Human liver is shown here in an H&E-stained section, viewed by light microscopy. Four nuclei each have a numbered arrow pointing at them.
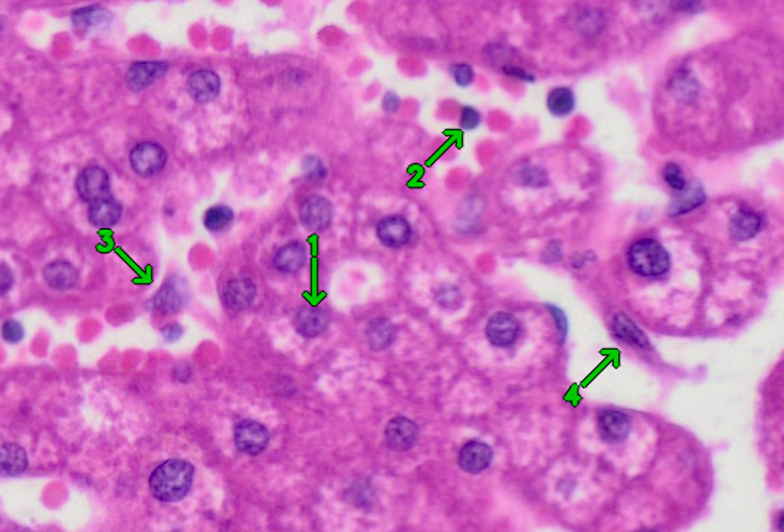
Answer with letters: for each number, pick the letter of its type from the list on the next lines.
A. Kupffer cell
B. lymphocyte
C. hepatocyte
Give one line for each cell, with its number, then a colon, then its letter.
1: C
2: B
3: A
4: A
